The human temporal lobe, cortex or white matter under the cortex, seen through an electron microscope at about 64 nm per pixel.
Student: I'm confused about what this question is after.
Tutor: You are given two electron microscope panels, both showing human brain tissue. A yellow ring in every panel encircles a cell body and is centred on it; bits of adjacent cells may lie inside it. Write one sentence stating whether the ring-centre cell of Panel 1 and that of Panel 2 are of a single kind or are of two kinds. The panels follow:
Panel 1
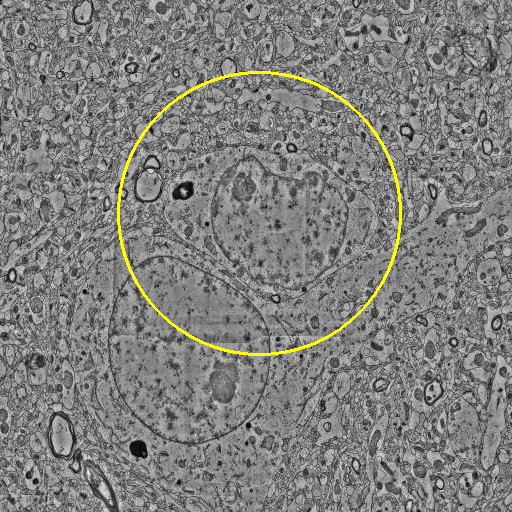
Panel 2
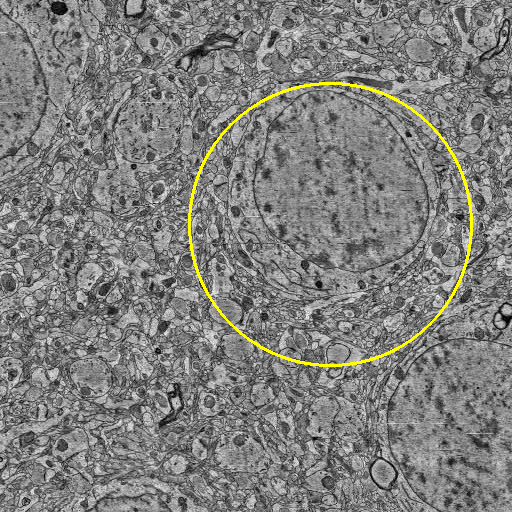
Here, the Panel 1 ring-centre cell and the Panel 2 ring-centre cell are of two kinds.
